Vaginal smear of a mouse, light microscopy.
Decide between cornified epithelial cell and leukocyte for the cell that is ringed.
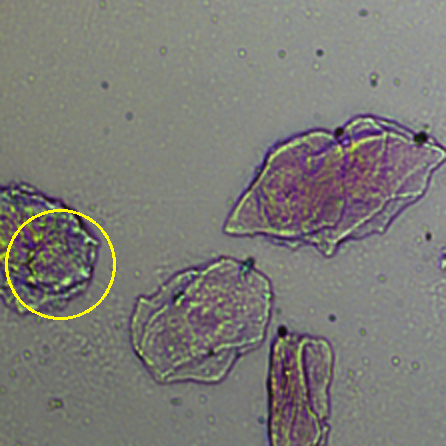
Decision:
I take the ringed cell for a cornified epithelial cell.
